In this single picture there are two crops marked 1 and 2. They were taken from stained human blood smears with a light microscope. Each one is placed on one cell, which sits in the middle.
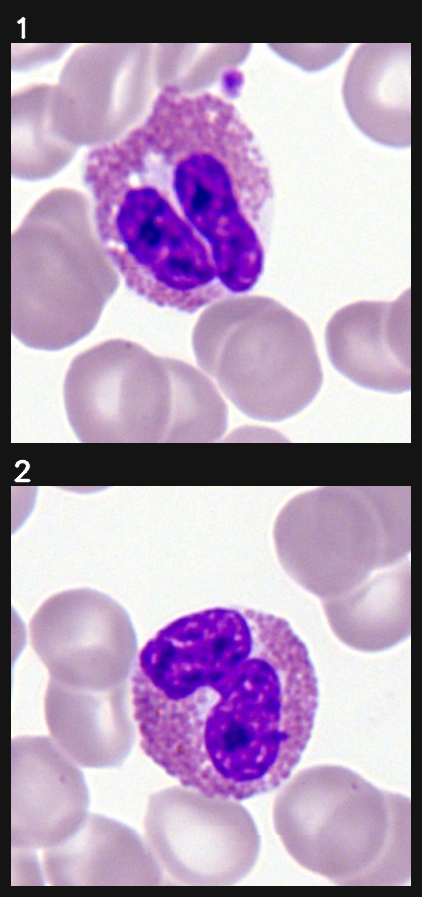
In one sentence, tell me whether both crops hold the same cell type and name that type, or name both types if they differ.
Yes, the two crops show eosinophils, one cell each.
